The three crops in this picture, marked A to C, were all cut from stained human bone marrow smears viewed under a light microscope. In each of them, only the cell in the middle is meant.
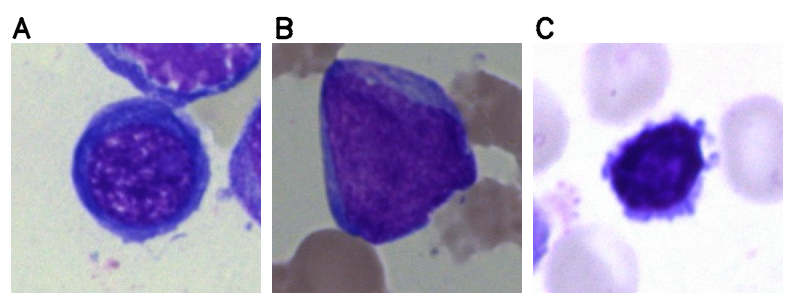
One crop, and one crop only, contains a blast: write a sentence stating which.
So the crop with a blast at its center is crop B.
